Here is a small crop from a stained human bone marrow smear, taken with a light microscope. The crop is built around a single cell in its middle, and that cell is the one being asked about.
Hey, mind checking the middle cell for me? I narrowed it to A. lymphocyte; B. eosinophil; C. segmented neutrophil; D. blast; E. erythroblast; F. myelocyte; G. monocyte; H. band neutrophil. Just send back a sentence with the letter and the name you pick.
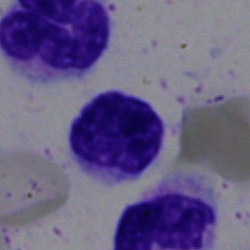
This one is option A, since the cell at the center is a lymphocyte.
